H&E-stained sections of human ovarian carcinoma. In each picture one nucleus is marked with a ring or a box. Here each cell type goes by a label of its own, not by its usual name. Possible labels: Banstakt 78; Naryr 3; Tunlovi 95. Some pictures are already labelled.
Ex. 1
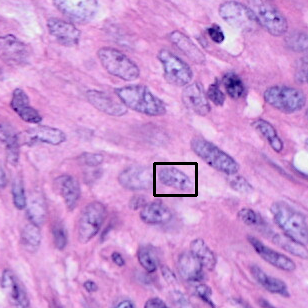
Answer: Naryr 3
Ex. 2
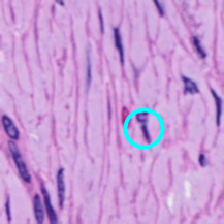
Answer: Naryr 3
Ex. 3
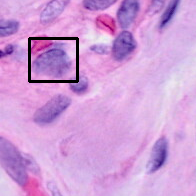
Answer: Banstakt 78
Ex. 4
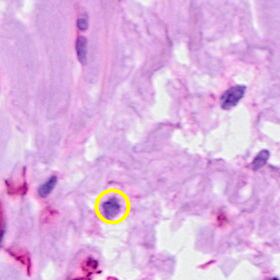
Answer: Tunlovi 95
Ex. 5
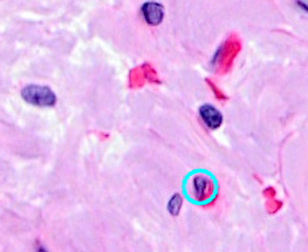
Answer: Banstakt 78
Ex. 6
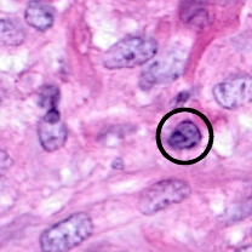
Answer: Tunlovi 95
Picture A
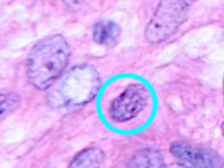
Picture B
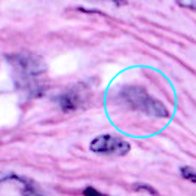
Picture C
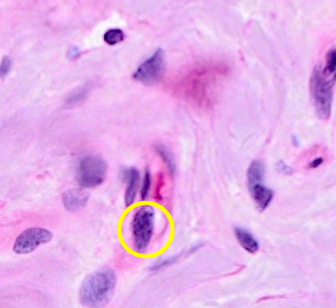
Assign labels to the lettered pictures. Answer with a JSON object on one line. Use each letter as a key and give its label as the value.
{"A": "Tunlovi 95", "B": "Naryr 3", "C": "Banstakt 78"}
